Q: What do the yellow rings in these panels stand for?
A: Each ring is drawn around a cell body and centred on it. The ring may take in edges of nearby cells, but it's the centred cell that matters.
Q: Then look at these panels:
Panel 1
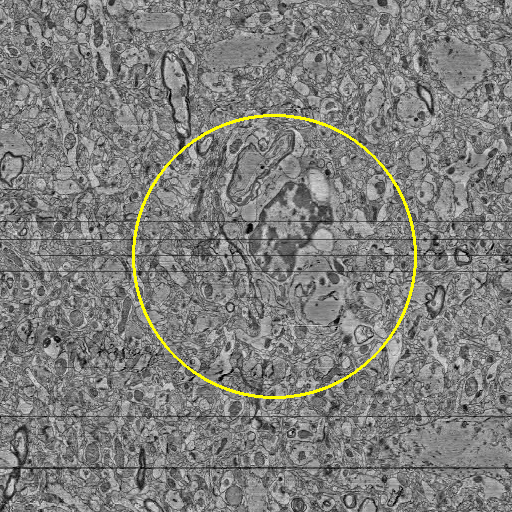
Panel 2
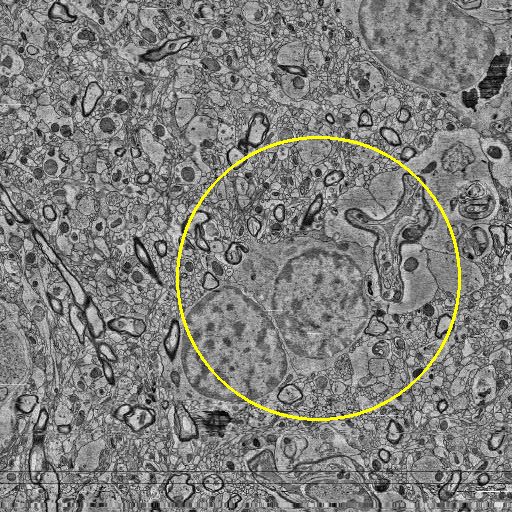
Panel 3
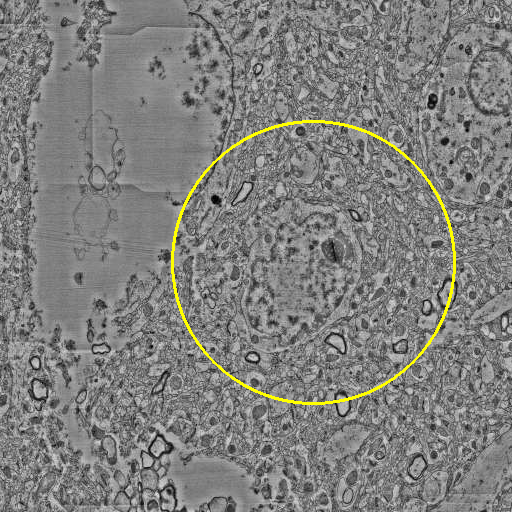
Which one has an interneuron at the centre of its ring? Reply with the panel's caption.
Panel 3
